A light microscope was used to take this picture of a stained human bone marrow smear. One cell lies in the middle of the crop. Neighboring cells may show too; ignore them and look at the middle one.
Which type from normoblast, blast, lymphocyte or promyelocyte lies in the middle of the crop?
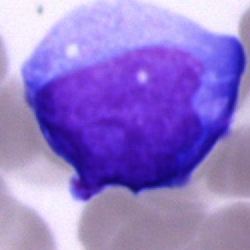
blast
